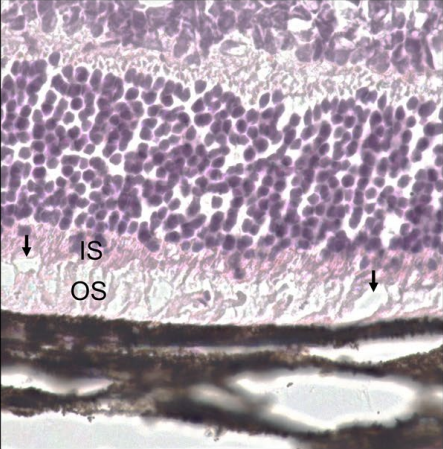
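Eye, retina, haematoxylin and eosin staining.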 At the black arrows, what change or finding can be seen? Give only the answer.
Vacuolisations.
